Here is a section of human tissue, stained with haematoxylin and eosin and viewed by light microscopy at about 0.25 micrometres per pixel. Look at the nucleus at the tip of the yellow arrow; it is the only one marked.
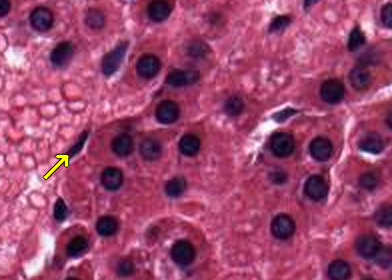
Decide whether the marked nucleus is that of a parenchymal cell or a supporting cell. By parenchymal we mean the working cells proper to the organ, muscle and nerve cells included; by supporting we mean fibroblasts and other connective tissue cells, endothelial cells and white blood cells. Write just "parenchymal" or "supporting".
supporting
